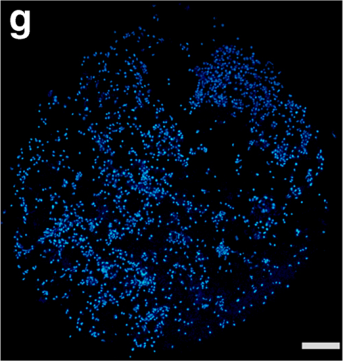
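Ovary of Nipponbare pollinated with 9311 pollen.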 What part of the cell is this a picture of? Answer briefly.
Endosperm free nuclei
